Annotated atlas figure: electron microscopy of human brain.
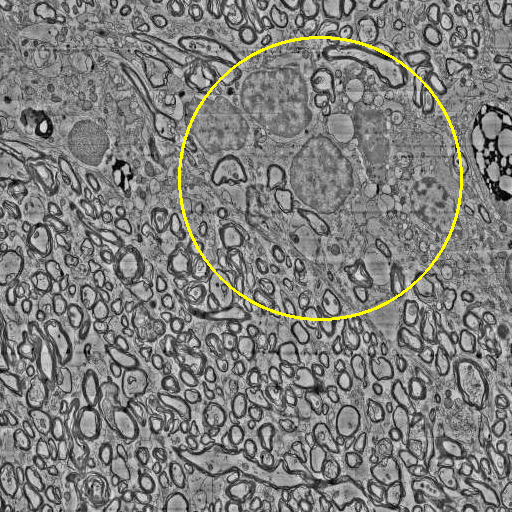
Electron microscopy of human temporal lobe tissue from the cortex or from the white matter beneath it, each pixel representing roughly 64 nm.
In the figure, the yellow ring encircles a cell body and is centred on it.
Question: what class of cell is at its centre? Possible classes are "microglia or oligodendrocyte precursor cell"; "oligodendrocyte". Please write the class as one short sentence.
The yellow ring is drawn around an oligodendrocyte.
